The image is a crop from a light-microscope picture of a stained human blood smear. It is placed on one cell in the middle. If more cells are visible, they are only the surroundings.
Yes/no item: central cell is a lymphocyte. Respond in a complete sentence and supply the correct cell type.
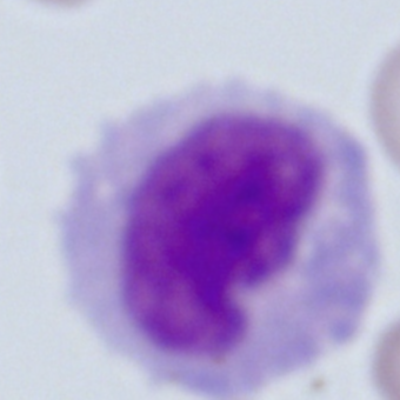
No, the cell in the middle of the crop counts as a monocyte and not as a lymphocyte.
